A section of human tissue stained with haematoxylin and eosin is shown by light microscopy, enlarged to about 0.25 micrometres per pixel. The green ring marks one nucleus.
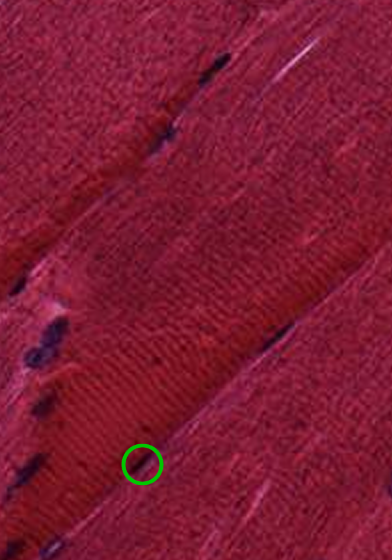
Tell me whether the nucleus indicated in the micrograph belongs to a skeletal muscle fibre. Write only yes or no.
yes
